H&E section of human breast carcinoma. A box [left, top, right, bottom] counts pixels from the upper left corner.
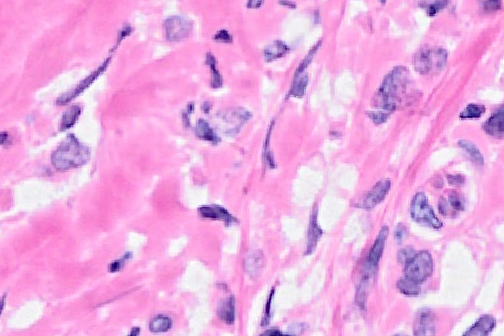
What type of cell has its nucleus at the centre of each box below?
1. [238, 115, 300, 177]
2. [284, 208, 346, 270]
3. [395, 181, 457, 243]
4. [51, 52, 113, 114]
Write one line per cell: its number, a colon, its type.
1: fibroblast
2: fibroblast
3: endothelial cell
4: fibroblast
